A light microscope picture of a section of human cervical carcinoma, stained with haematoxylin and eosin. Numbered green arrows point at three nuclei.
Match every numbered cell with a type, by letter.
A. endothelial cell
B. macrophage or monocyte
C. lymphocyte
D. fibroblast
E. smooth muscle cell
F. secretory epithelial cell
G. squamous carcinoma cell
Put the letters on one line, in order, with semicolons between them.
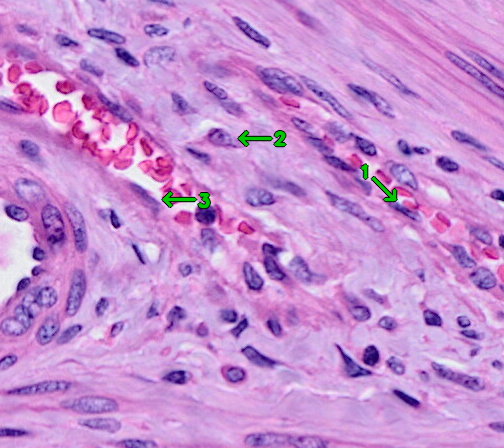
A; B; A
